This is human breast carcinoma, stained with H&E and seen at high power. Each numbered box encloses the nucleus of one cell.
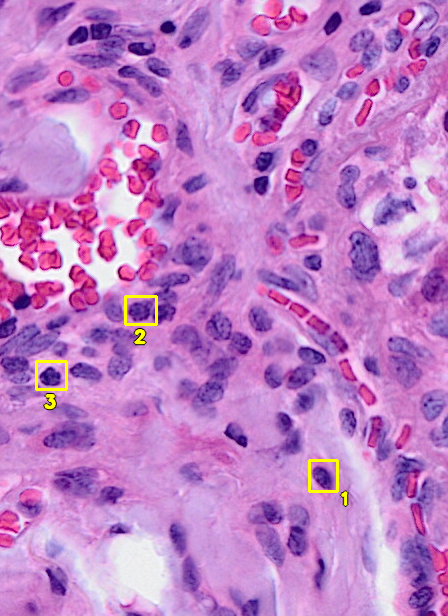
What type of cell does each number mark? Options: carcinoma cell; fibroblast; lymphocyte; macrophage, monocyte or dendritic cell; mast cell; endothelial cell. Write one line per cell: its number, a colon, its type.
1: mast cell
2: lymphocyte
3: lymphocyte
